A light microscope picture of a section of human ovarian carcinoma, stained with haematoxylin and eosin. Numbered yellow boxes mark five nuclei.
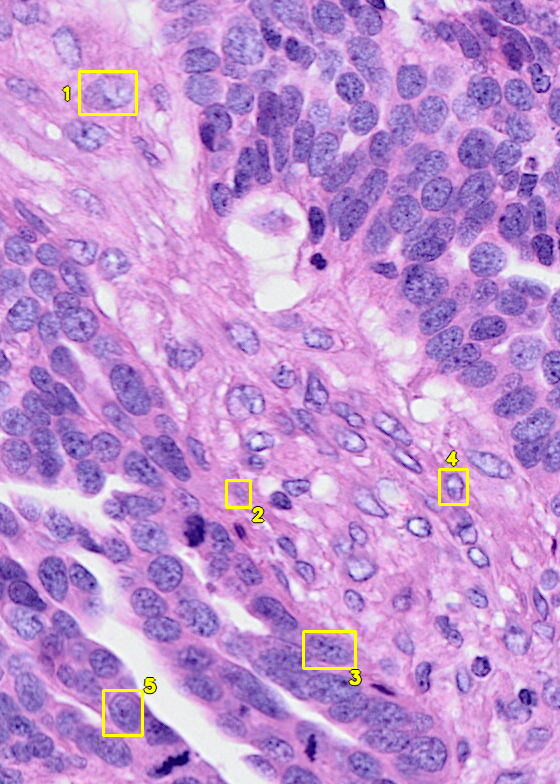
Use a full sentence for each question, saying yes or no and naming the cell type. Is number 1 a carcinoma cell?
No, a fibroblast is what cell 1 is, not a carcinoma cell.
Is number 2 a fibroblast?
Yes, number 2 corresponds to a fibroblast.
